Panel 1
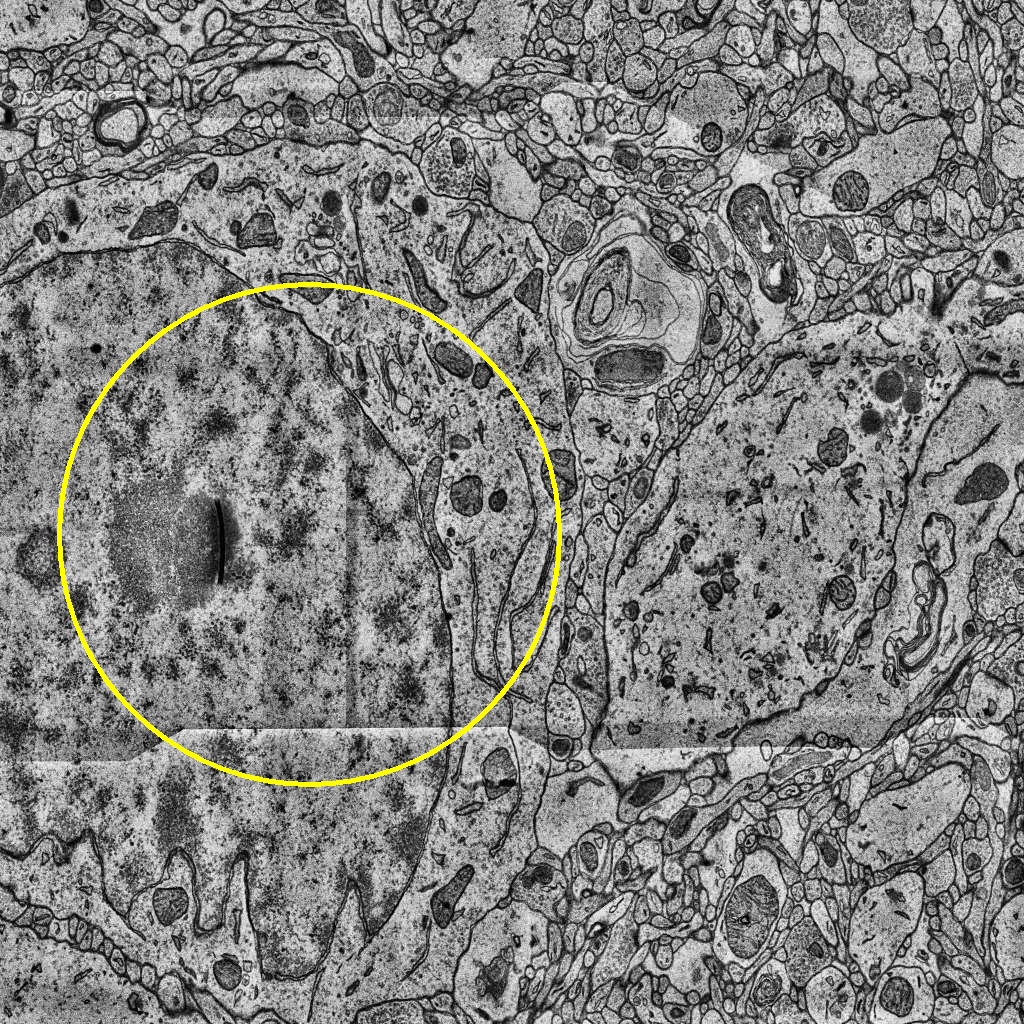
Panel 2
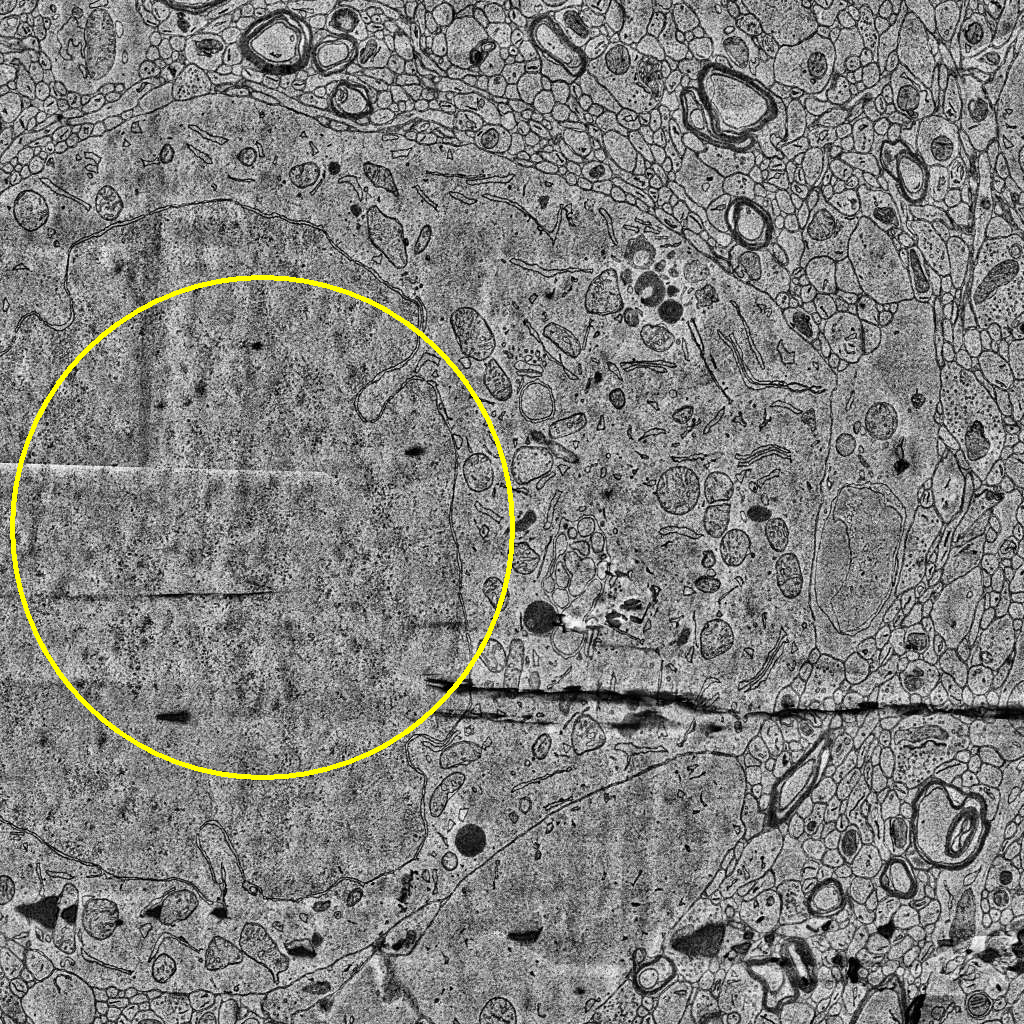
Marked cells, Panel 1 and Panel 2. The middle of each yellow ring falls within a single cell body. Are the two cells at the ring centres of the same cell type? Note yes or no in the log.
yes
